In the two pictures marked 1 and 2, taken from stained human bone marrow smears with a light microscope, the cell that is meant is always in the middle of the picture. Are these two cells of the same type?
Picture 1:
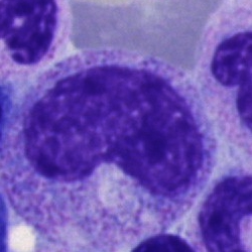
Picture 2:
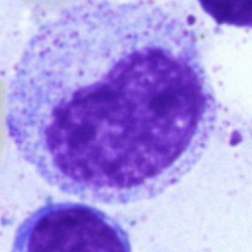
yes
